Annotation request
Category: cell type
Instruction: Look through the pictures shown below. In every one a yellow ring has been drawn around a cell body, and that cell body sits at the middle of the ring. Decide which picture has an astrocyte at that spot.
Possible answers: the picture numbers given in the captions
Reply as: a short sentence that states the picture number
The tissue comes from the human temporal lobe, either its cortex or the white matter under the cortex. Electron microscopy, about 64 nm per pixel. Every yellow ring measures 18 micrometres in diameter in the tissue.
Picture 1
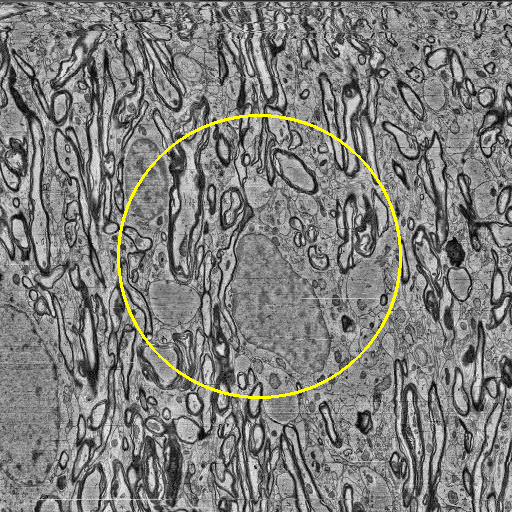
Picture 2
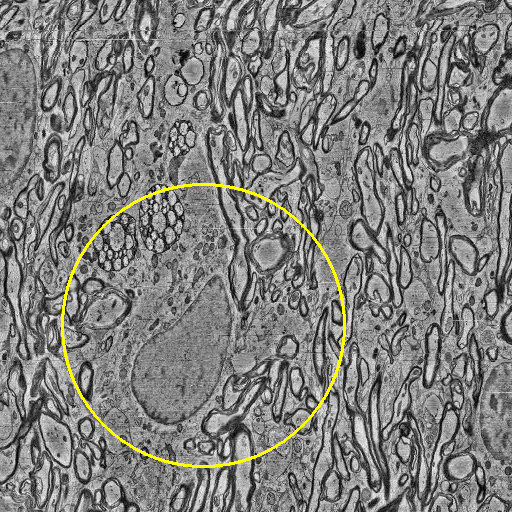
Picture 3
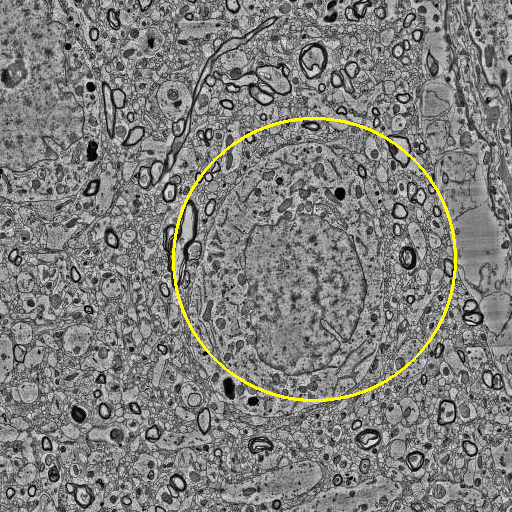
It is in Picture 2.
